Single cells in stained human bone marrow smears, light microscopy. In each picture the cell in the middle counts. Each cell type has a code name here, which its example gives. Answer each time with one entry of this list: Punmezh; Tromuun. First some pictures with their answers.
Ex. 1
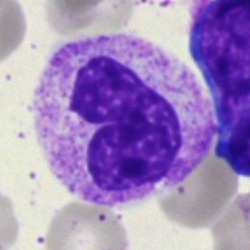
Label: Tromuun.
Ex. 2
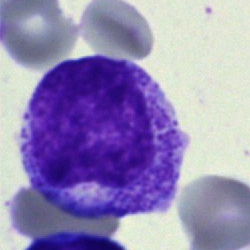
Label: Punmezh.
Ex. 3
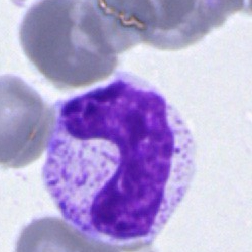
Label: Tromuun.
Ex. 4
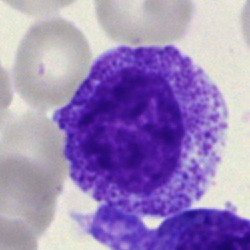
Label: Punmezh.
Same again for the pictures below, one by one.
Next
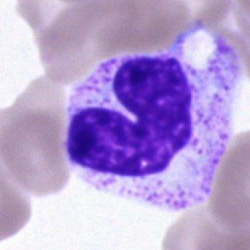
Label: Tromuun.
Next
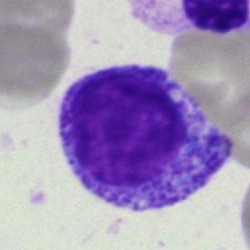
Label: Punmezh.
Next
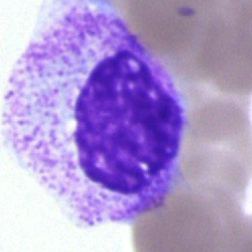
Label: Punmezh.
